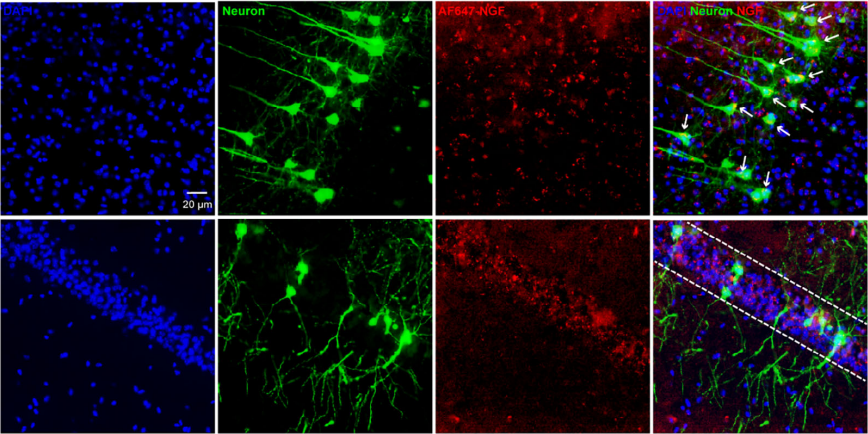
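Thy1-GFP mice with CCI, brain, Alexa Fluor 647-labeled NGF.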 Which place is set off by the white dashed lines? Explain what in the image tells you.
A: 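A dense diagonal band of tightly packed blue nuclei lies between the two dashed lines. Green neurons with long branching processes sit along and below the band. On this evidence: hippocampus.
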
